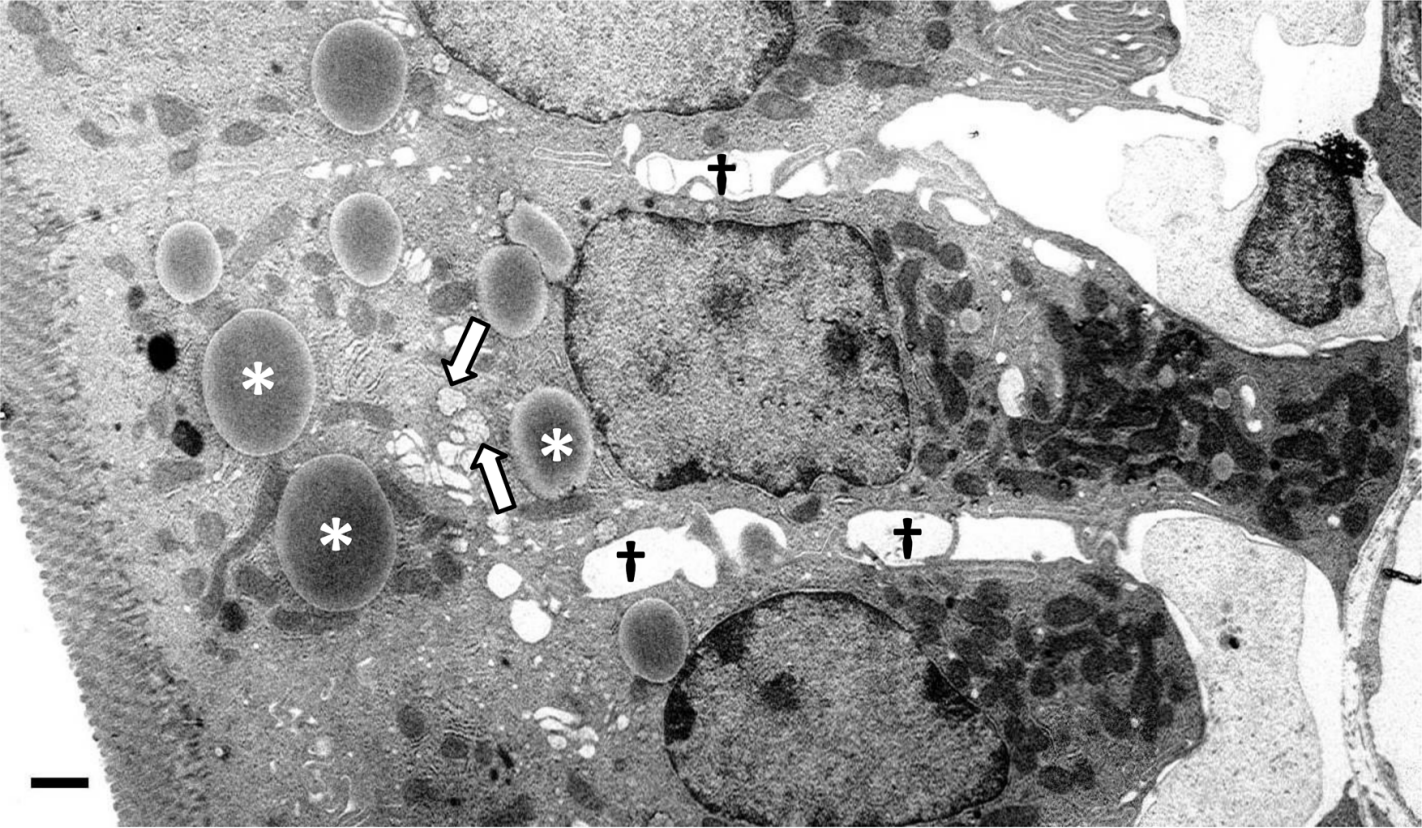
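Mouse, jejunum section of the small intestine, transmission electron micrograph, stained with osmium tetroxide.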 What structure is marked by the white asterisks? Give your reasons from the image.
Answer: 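The asterisks mark large round homogeneous grey droplets in the cytoplasm. The droplets have no membrane stacks or internal structure. They lie between the microvillous surface and the nuclei.
Conclusion: Neutral lipids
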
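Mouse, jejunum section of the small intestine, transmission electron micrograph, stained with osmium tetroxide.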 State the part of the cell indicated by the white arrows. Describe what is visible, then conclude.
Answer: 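The arrows point to a region of stacked membranes and small pale vesicles beside the nucleus. Small round particles lie in the pale vesicles near the arrows.
Hence: Golgi apparatus.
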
